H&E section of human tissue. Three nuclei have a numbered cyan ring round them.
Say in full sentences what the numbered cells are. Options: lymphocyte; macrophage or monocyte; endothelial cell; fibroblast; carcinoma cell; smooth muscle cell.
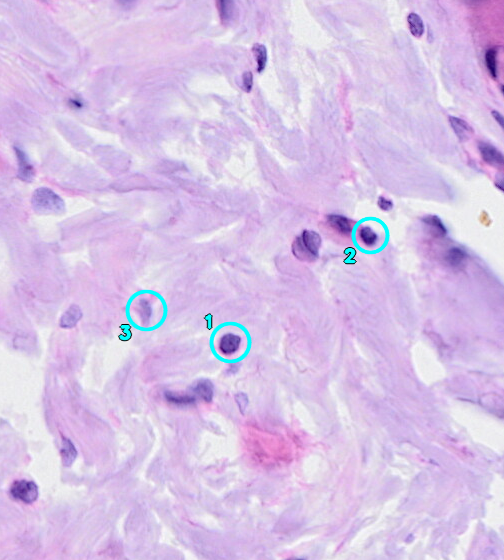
Cell 1 is a lymphocyte, cell 2 is a lymphocyte and cell 3 is a fibroblast.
